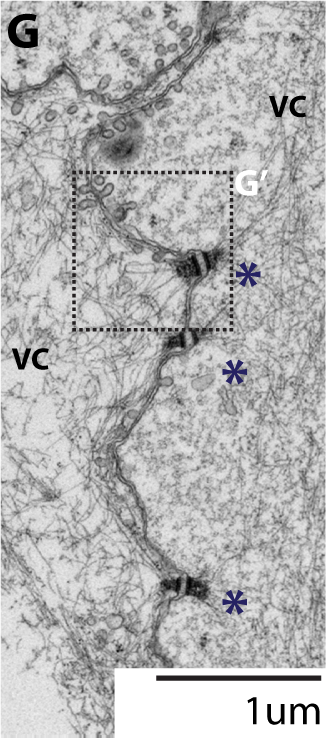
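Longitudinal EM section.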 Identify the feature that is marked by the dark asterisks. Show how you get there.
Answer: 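Desmosomes. Each asterisk sits beside a short electron-dense striped plaque on the cell boundary. The plaques lie on the paired membranes between two cells.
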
